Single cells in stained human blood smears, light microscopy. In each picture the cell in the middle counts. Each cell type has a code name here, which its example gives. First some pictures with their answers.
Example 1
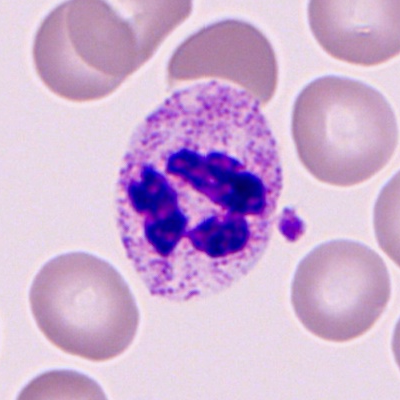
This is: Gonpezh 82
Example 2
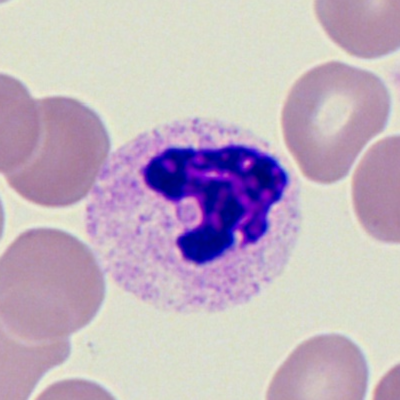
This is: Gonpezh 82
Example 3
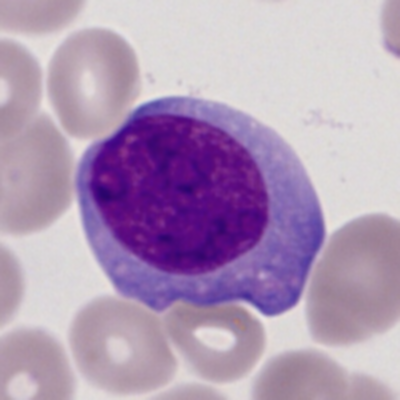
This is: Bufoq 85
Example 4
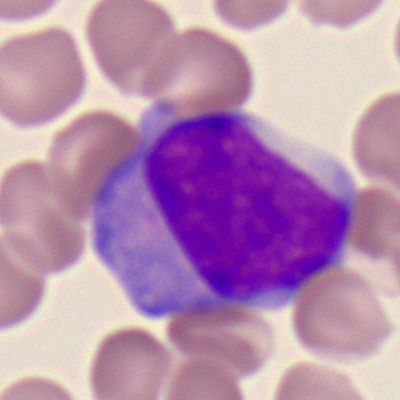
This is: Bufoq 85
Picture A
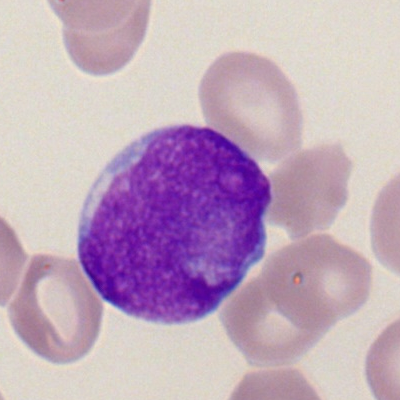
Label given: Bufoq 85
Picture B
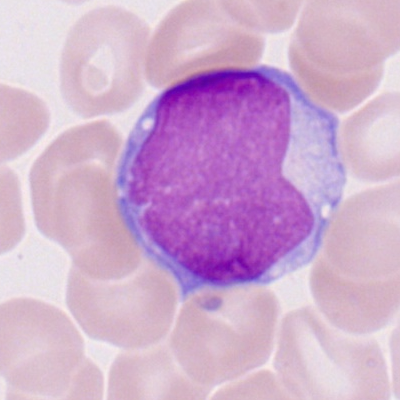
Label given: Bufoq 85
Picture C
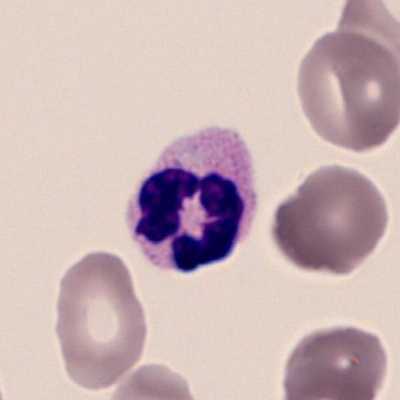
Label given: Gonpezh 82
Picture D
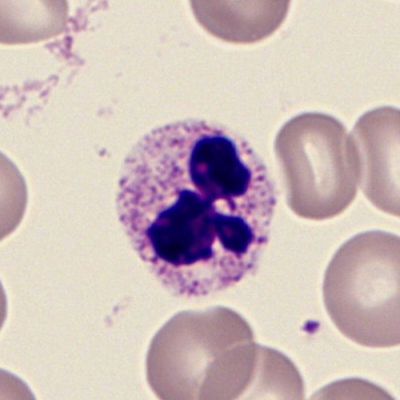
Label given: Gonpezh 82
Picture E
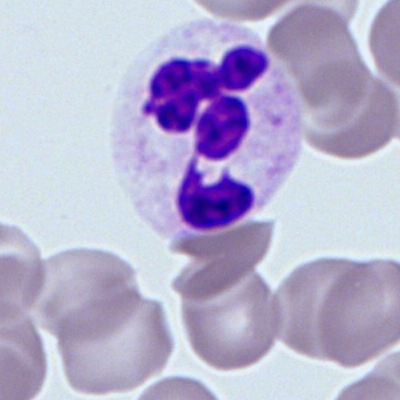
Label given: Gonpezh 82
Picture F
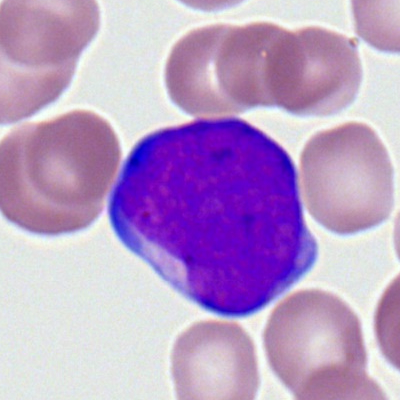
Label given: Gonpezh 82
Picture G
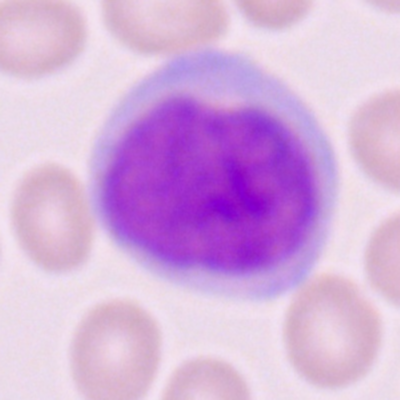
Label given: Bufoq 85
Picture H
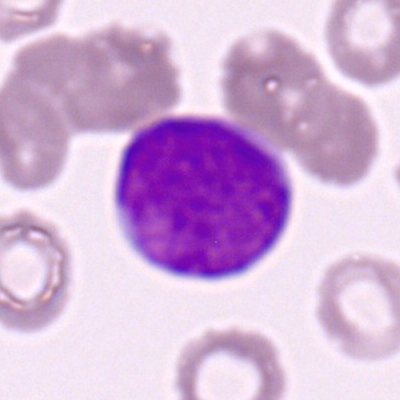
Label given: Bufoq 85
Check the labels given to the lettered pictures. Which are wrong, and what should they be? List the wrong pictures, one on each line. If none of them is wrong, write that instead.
Wrong: F (Gonpezh 82); correct: Bufoq 85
